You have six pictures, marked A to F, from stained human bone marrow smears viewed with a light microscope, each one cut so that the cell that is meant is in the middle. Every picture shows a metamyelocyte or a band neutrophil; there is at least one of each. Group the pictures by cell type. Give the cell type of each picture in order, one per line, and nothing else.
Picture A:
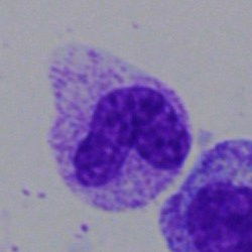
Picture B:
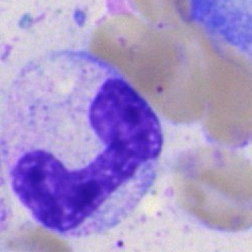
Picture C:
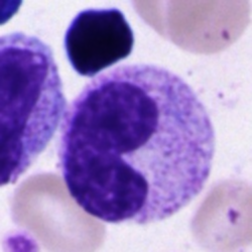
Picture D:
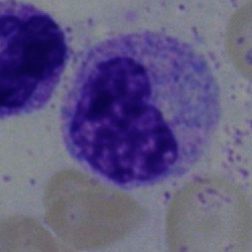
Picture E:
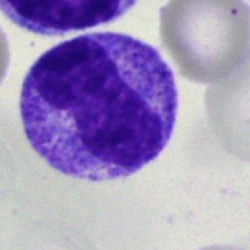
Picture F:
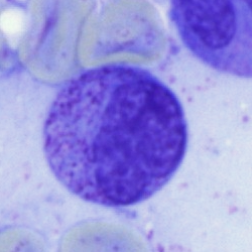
band neutrophil
band neutrophil
metamyelocyte
metamyelocyte
metamyelocyte
metamyelocyte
